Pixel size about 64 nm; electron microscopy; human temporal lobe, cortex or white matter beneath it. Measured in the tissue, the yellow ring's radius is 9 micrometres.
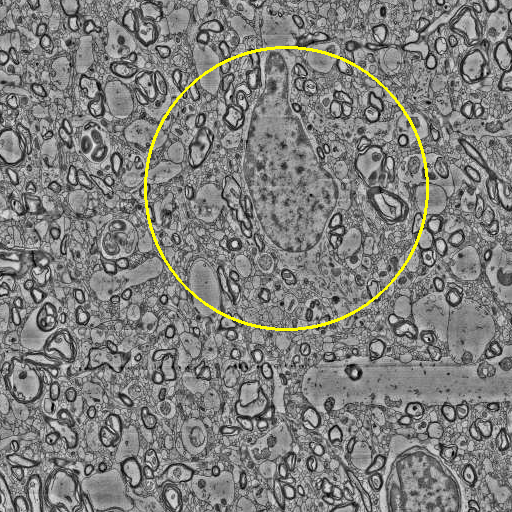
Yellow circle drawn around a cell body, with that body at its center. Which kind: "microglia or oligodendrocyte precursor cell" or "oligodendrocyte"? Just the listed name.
microglia or oligodendrocyte precursor cell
